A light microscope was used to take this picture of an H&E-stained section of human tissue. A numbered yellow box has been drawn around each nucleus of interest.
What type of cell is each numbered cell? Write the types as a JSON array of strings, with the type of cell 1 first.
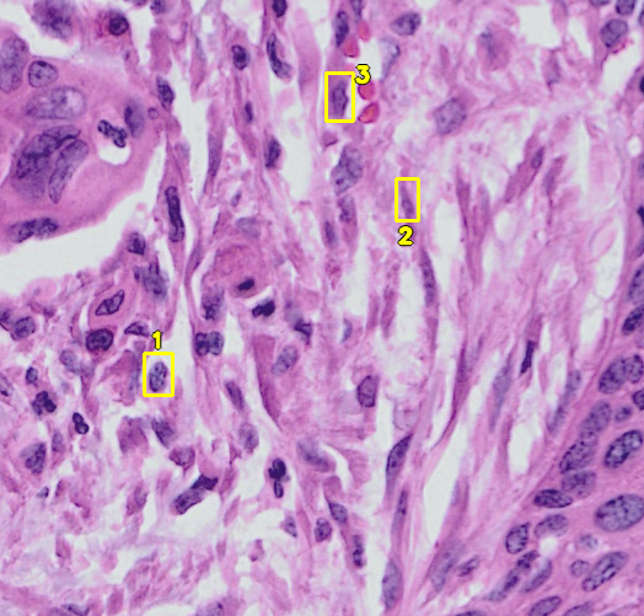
["lymphocyte", "fibroblast", "endothelial cell"]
